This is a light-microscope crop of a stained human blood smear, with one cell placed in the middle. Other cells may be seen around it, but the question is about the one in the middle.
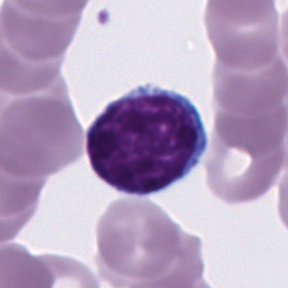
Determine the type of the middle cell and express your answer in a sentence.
Regarding the central cell, it is a lymphocyte.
